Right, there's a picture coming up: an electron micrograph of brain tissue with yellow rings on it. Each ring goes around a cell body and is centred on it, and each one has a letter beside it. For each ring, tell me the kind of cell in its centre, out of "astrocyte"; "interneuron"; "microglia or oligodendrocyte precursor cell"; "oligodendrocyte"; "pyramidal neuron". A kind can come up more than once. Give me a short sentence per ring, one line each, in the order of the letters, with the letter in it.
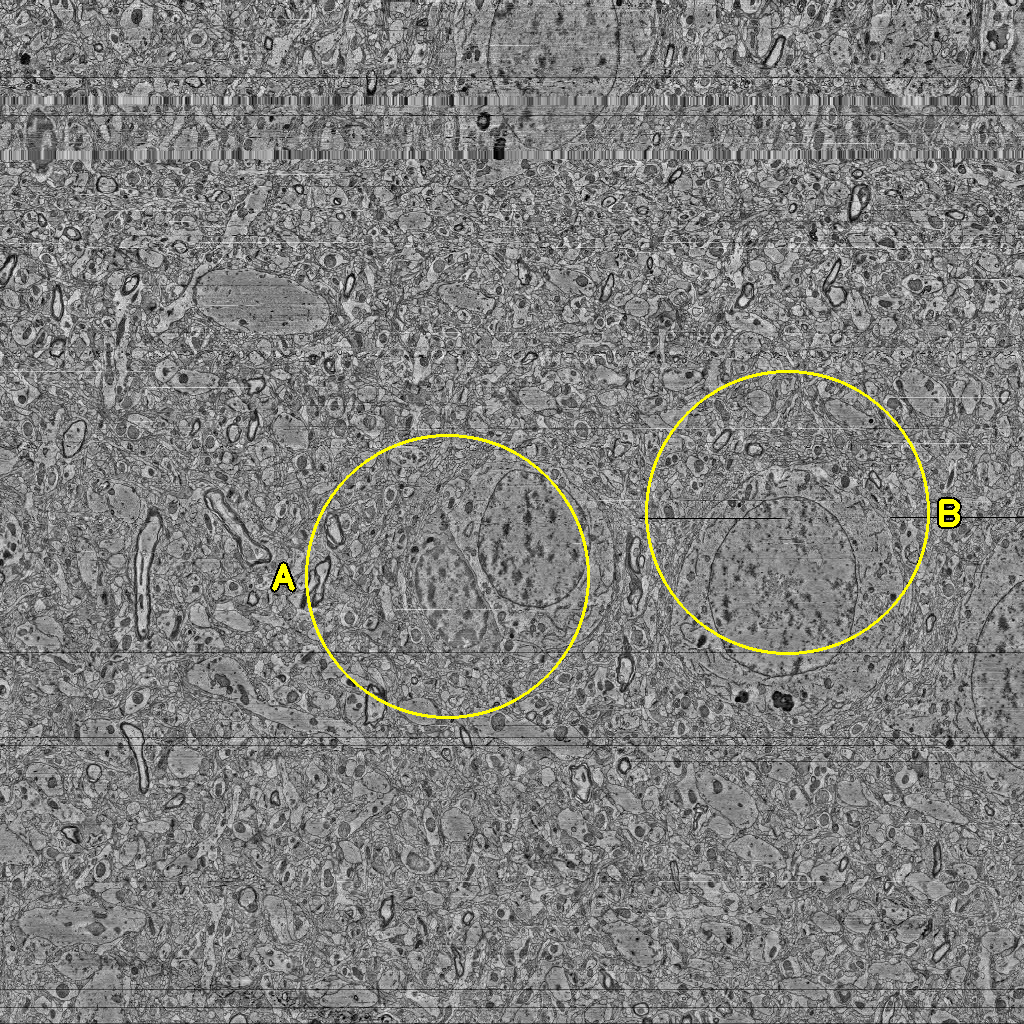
That's an oligodendrocyte in ring A.
That's a pyramidal neuron in ring B.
